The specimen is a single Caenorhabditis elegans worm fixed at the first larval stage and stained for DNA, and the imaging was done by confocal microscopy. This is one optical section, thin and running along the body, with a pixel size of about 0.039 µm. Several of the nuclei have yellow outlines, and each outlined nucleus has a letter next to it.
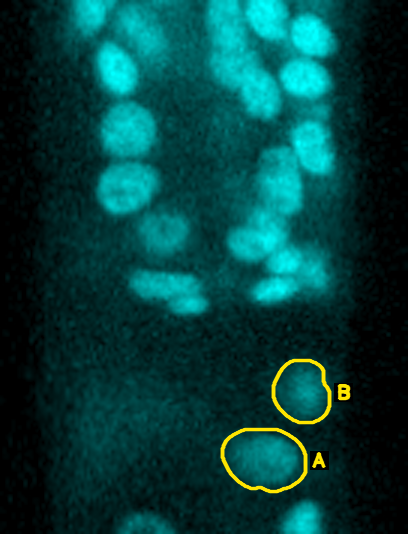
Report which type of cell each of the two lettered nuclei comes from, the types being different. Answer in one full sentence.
A belongs to an intestinal cell and B to a body wall muscle cell.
